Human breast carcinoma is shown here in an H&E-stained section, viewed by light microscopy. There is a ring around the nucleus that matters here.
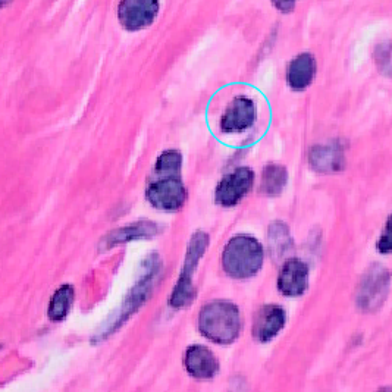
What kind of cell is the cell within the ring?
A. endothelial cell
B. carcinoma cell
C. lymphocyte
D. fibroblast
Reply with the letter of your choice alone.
C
